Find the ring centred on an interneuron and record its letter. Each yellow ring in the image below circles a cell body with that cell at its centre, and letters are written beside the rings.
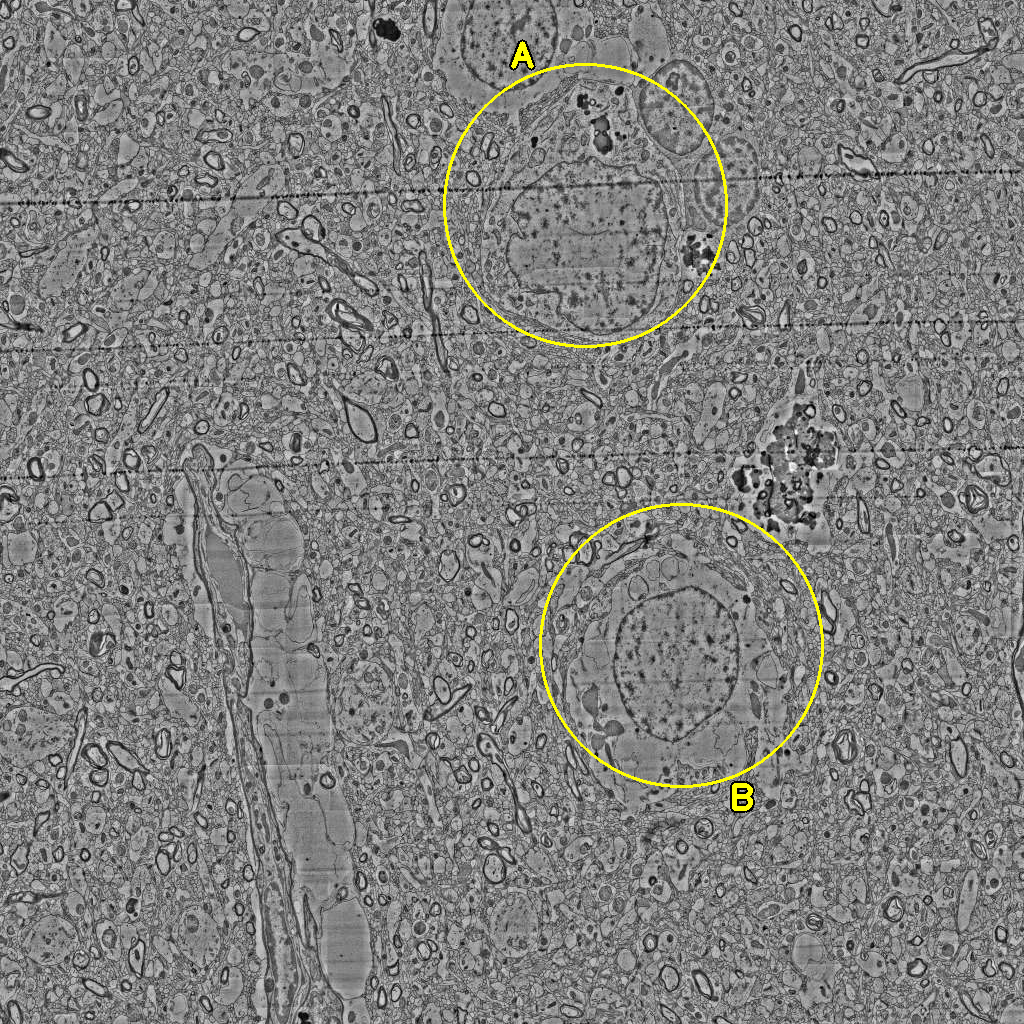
A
